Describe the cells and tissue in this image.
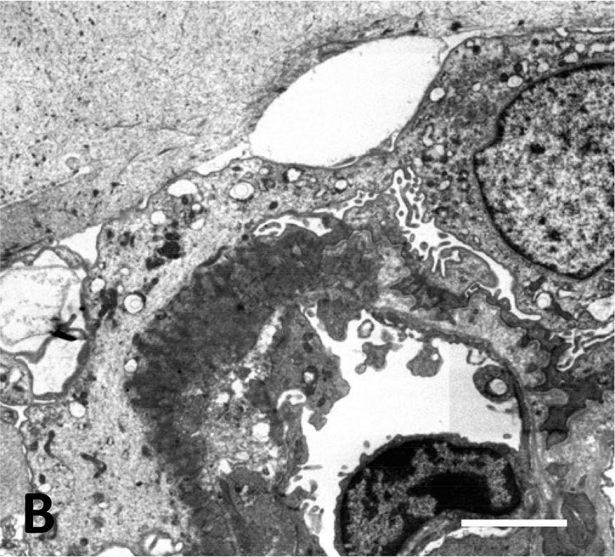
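Glomerular capillary wall region beside pale exudate, with a podocyte at upper right. The podocyte has a large oval nucleus with fine chromatin and cytoplasm with small vesicles, sending out folded, interdigitating processes toward a clear capillary lumen. The lumen holds a cell with a dark, heterochromatic nucleus. At left a dense, dark granular mass abuts the lumen, and the pale finely fibrillar exudate with a clear vacuole lies above without a distinct dark basement membrane line between them.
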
